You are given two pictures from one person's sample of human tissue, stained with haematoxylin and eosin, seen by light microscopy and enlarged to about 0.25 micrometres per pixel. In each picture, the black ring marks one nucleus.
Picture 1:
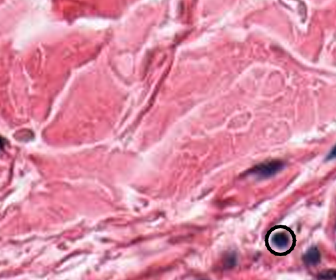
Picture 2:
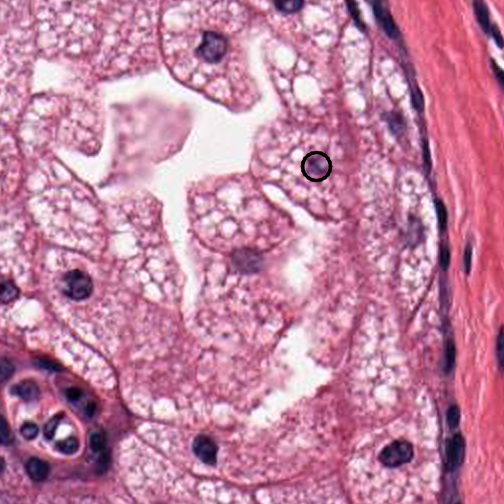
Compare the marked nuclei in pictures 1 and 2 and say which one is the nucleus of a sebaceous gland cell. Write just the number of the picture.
2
